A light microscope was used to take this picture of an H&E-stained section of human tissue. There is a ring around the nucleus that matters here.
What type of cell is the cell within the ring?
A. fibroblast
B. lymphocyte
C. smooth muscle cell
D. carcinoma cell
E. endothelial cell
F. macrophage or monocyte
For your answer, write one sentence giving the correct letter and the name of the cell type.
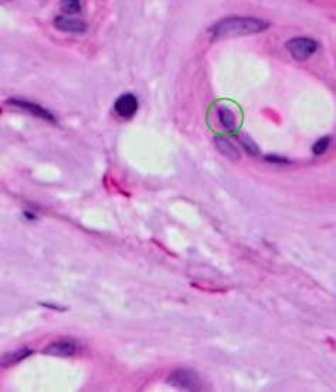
Option E is accurate, for the cell within the ring is an endothelial cell.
